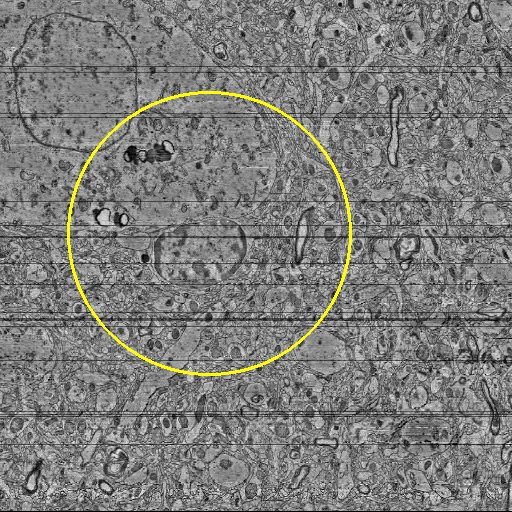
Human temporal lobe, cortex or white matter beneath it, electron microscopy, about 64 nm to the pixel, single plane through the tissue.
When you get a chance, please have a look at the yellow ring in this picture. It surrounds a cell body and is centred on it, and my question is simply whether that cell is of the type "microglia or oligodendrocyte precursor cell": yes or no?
Yes, the cell is of that type.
